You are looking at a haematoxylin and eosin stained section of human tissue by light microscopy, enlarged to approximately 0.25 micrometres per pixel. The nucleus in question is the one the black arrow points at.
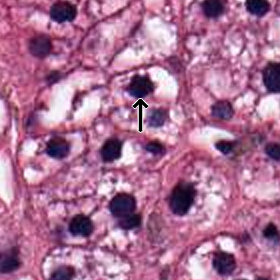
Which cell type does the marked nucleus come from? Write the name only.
adrenal cortical cell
